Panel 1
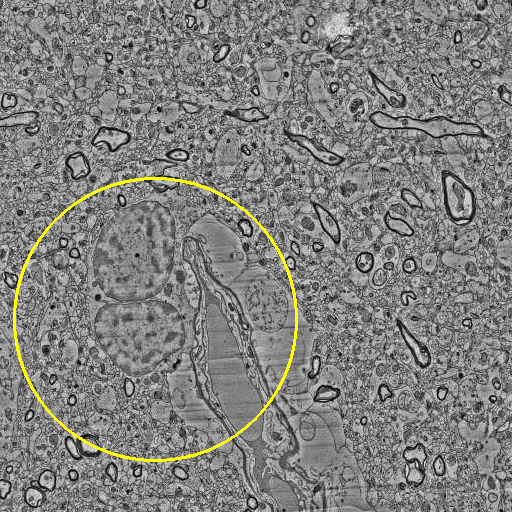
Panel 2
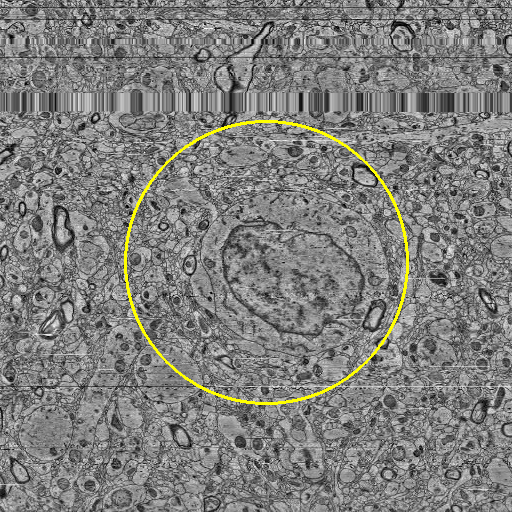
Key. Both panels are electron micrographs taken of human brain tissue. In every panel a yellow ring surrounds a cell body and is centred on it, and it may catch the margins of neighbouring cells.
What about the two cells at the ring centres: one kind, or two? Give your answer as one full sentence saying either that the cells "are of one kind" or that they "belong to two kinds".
Across Panels 1 and 2, the two cells at the ring centres belong to two kinds.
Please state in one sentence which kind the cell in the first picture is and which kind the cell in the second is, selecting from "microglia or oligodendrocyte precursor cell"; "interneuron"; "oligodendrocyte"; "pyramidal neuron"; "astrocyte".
The first ringed cell is an oligodendrocyte, the second ringed cell a pyramidal neuron.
